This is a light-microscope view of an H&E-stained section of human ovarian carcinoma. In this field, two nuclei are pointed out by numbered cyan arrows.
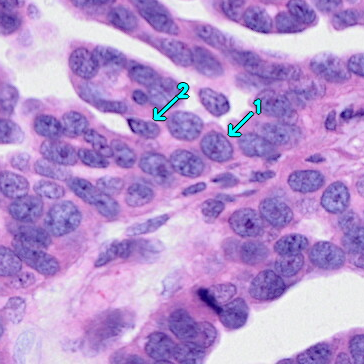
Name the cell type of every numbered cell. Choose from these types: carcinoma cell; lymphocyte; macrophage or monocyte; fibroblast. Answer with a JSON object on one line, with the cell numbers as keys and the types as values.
{"1": "carcinoma cell", "2": "macrophage or monocyte"}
